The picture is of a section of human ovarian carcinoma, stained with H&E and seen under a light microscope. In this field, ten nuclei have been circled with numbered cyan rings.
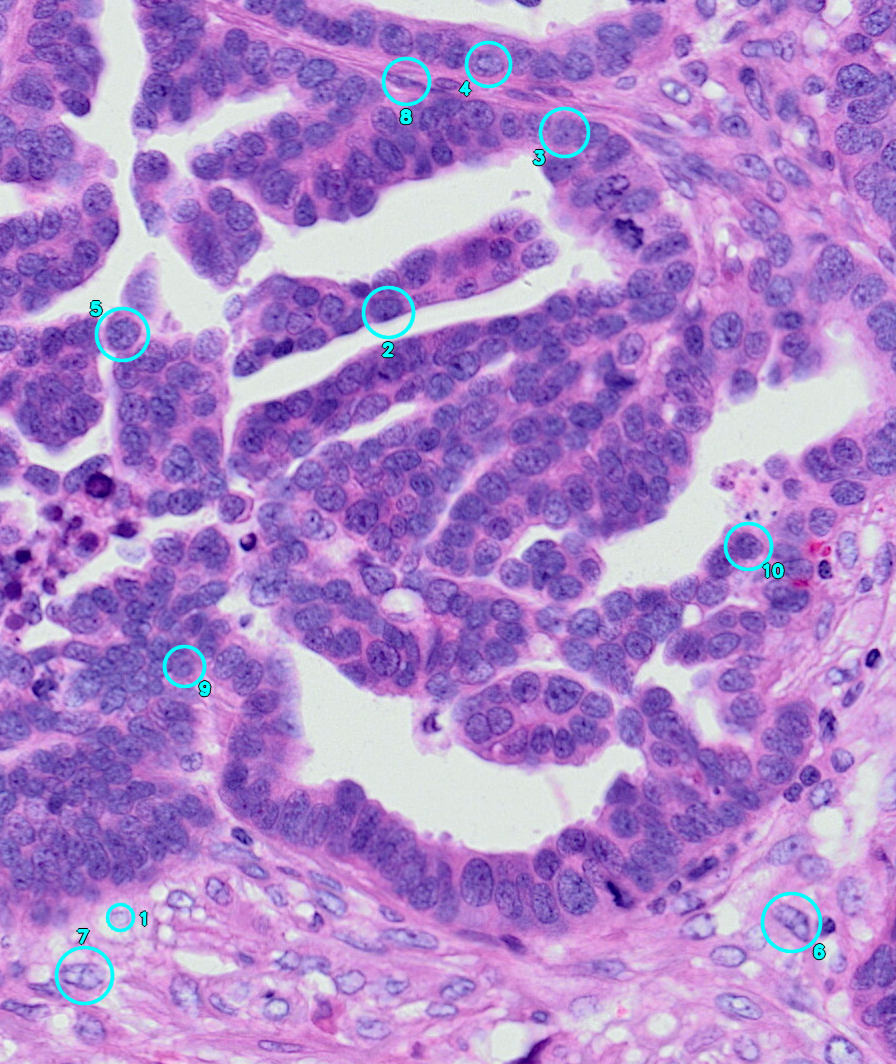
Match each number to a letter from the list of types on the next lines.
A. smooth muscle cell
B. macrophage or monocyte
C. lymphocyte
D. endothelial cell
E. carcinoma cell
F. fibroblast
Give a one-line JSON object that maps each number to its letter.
{"1": "F", "2": "E", "3": "E", "4": "E", "5": "E", "6": "F", "7": "F", "8": "F", "9": "E", "10": "E"}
